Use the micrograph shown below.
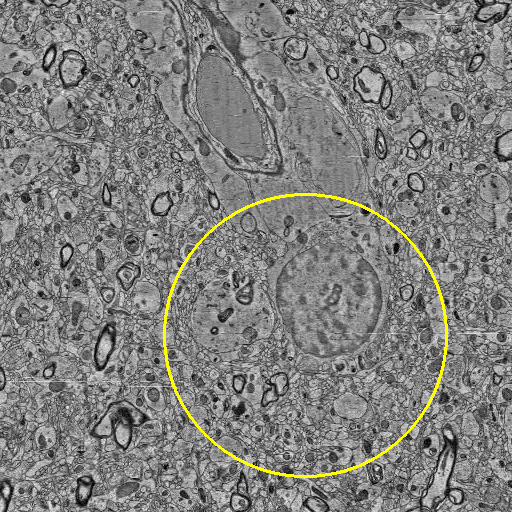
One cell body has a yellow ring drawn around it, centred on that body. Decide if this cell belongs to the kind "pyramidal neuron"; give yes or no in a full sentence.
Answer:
No, the cell lying at the ring's centre in the micrograph is of another kind.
